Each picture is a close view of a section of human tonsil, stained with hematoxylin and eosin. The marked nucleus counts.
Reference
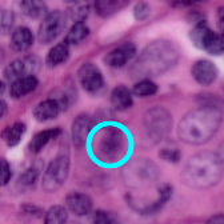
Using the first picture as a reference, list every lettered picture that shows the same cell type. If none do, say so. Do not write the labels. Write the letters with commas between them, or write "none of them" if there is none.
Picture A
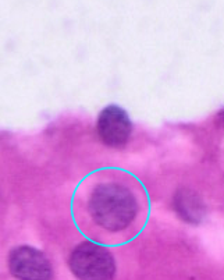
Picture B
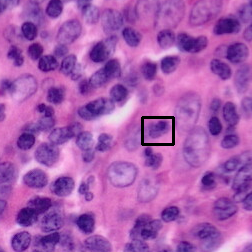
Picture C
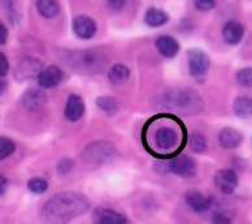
B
